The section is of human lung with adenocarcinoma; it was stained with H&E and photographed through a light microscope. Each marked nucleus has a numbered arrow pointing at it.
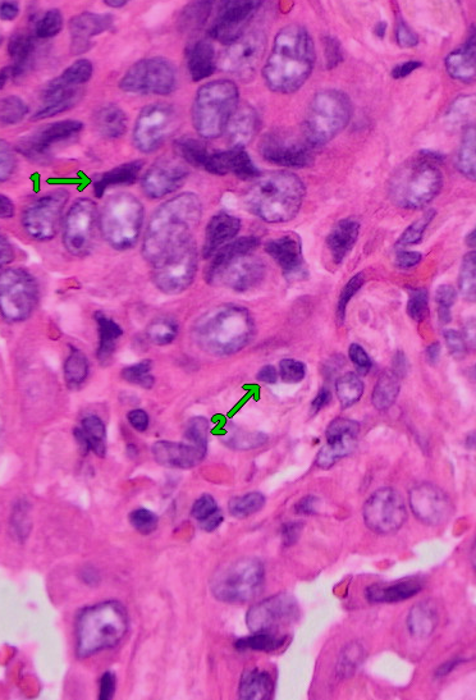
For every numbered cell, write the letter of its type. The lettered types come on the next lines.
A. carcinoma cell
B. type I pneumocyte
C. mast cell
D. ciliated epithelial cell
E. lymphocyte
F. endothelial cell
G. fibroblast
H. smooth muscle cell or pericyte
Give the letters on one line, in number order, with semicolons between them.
A; E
